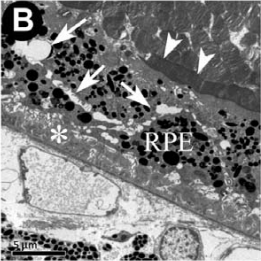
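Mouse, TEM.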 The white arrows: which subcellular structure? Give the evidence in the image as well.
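These spaces lie among dense black granules in the epithelial cytoplasm.
Hence: vacuoles.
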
